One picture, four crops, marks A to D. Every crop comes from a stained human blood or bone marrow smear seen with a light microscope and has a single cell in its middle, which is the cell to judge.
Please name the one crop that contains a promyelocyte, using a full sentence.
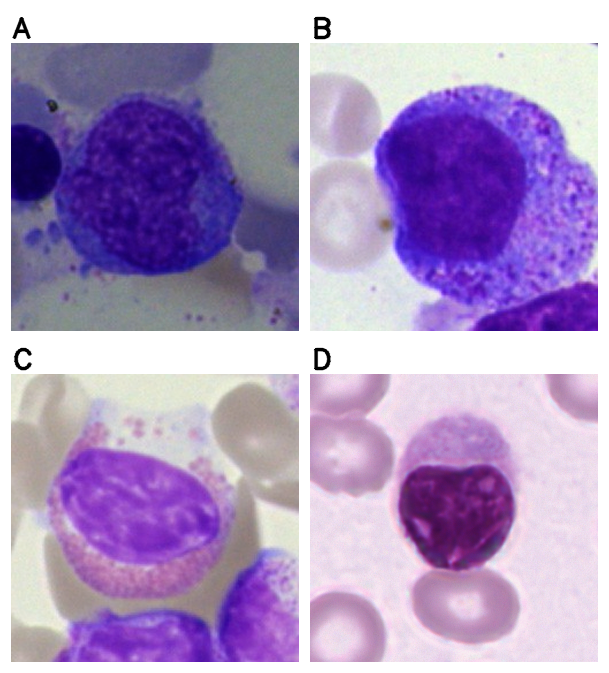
The crop with a promyelocyte in it is crop B.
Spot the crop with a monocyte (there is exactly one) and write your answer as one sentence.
Crop A alone, of all the crops, shows a monocyte.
